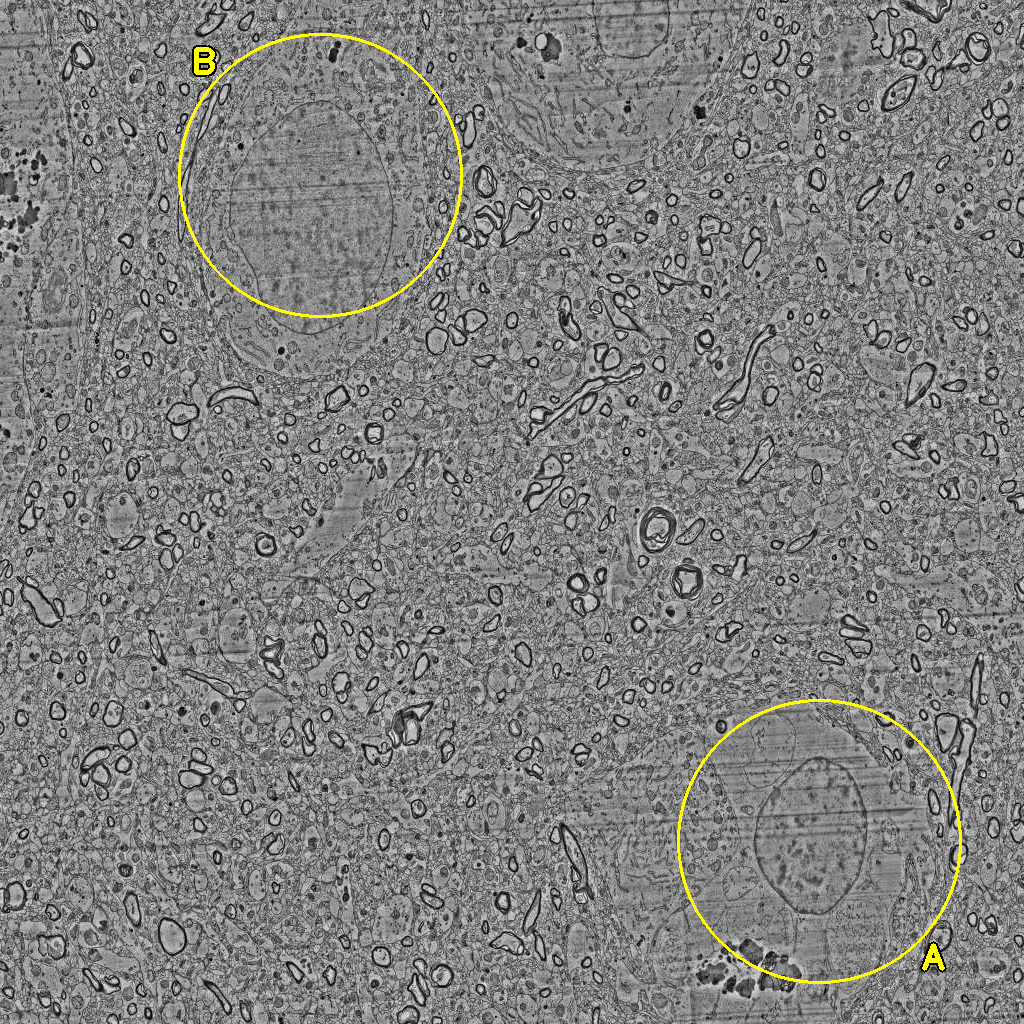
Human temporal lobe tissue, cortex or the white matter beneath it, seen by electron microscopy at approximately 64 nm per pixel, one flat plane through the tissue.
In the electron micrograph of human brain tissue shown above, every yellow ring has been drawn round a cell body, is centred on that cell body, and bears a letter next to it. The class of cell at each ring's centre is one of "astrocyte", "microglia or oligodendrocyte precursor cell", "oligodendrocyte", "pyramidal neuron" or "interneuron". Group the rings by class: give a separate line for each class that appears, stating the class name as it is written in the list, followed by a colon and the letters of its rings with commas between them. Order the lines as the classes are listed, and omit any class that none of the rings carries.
astrocyte: A
pyramidal neuron: B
